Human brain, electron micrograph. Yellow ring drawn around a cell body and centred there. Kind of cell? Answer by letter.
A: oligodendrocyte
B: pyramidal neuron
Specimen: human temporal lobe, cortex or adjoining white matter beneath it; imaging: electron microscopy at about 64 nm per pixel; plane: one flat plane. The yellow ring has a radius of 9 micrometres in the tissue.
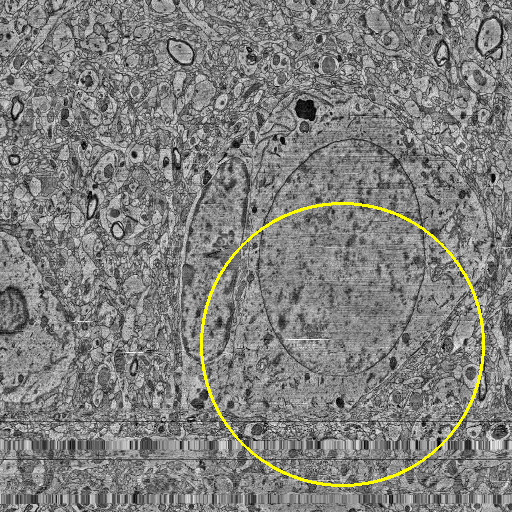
B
